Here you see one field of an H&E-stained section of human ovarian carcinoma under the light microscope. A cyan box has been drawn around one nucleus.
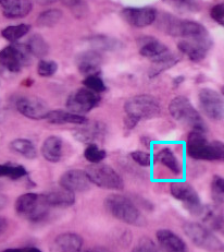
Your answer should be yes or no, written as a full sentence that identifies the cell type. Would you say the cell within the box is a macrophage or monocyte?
No, sorry, but the cell within the box is a carcinoma cell and not a macrophage or monocyte.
